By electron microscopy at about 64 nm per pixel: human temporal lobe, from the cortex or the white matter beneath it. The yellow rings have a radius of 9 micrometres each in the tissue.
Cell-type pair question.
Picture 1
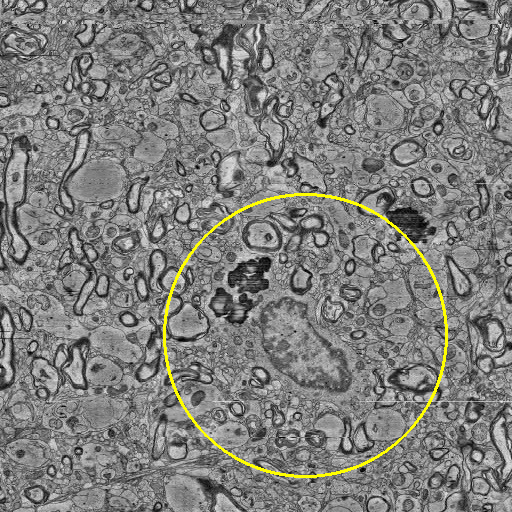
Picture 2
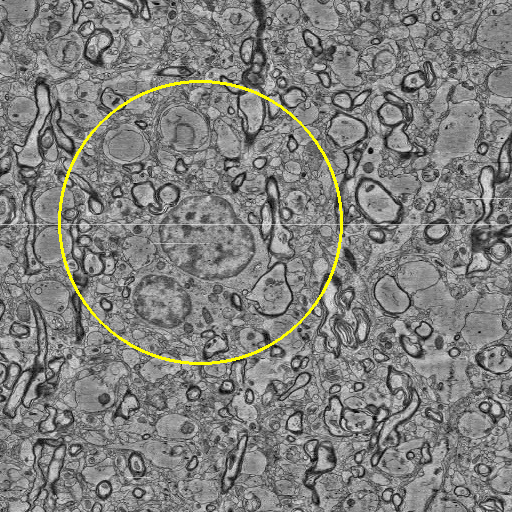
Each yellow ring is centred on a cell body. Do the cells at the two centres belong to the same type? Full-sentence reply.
Yes, the two cells belong to the same type.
